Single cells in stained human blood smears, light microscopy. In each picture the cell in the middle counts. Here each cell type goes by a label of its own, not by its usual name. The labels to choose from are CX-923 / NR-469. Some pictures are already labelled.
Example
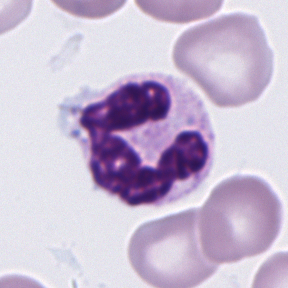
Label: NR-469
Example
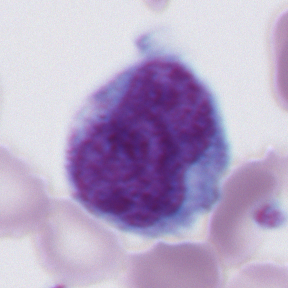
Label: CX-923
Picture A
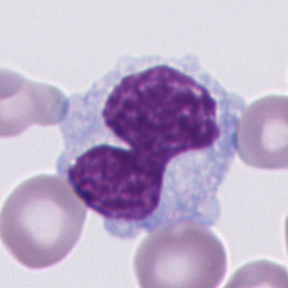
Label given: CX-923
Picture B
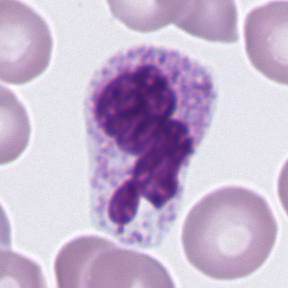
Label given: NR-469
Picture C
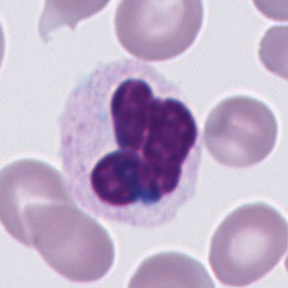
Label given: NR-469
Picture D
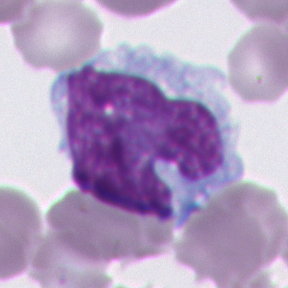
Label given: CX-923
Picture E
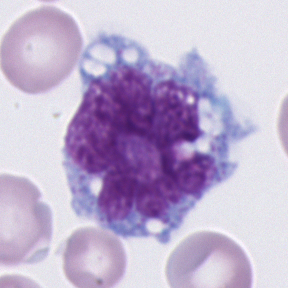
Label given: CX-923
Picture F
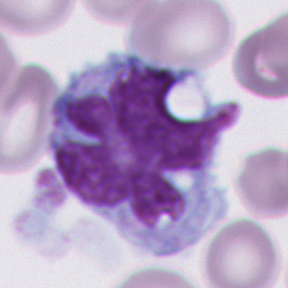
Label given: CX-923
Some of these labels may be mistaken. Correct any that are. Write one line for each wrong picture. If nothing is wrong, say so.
Nothing to fix; every label fits.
